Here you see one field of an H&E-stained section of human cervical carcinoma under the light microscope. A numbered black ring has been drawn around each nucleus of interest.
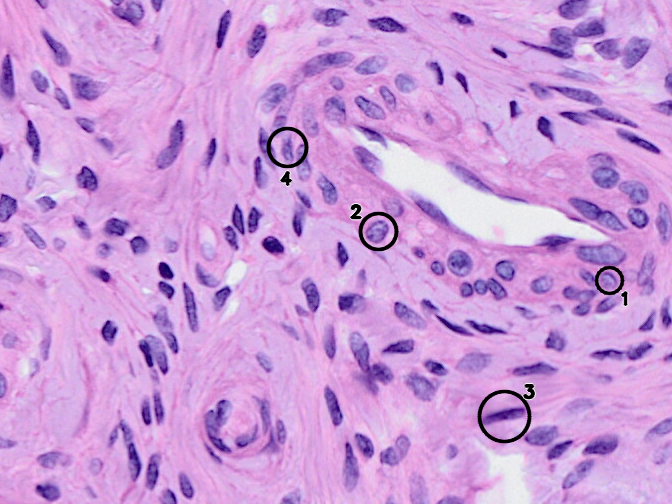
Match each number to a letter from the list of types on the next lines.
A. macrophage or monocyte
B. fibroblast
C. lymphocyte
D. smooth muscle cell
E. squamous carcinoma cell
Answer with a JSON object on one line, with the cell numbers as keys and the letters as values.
{"1": "D", "2": "D", "3": "B", "4": "D"}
